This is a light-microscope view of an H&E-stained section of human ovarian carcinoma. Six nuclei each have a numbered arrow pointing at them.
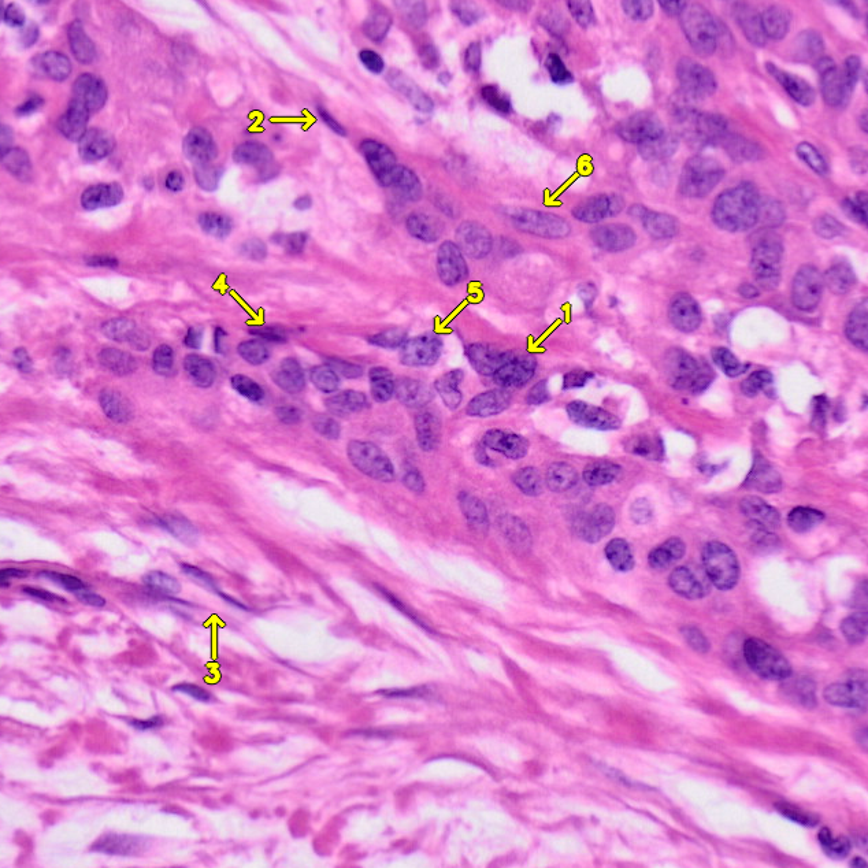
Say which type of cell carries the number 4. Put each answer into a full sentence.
In the marked set, the cell given number 4 is a carcinoma cell.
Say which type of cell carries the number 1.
Corresponding to a carcinoma cell is the cell labelled 1.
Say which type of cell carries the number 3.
Number 3 among the marked cells is a fibroblast.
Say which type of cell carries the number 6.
Cell 6 in the field of view is an endothelial cell.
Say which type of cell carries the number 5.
Cell 5 should be recorded as a macrophage or monocyte.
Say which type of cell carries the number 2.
Cell 2, as marked in the section, is a fibroblast.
